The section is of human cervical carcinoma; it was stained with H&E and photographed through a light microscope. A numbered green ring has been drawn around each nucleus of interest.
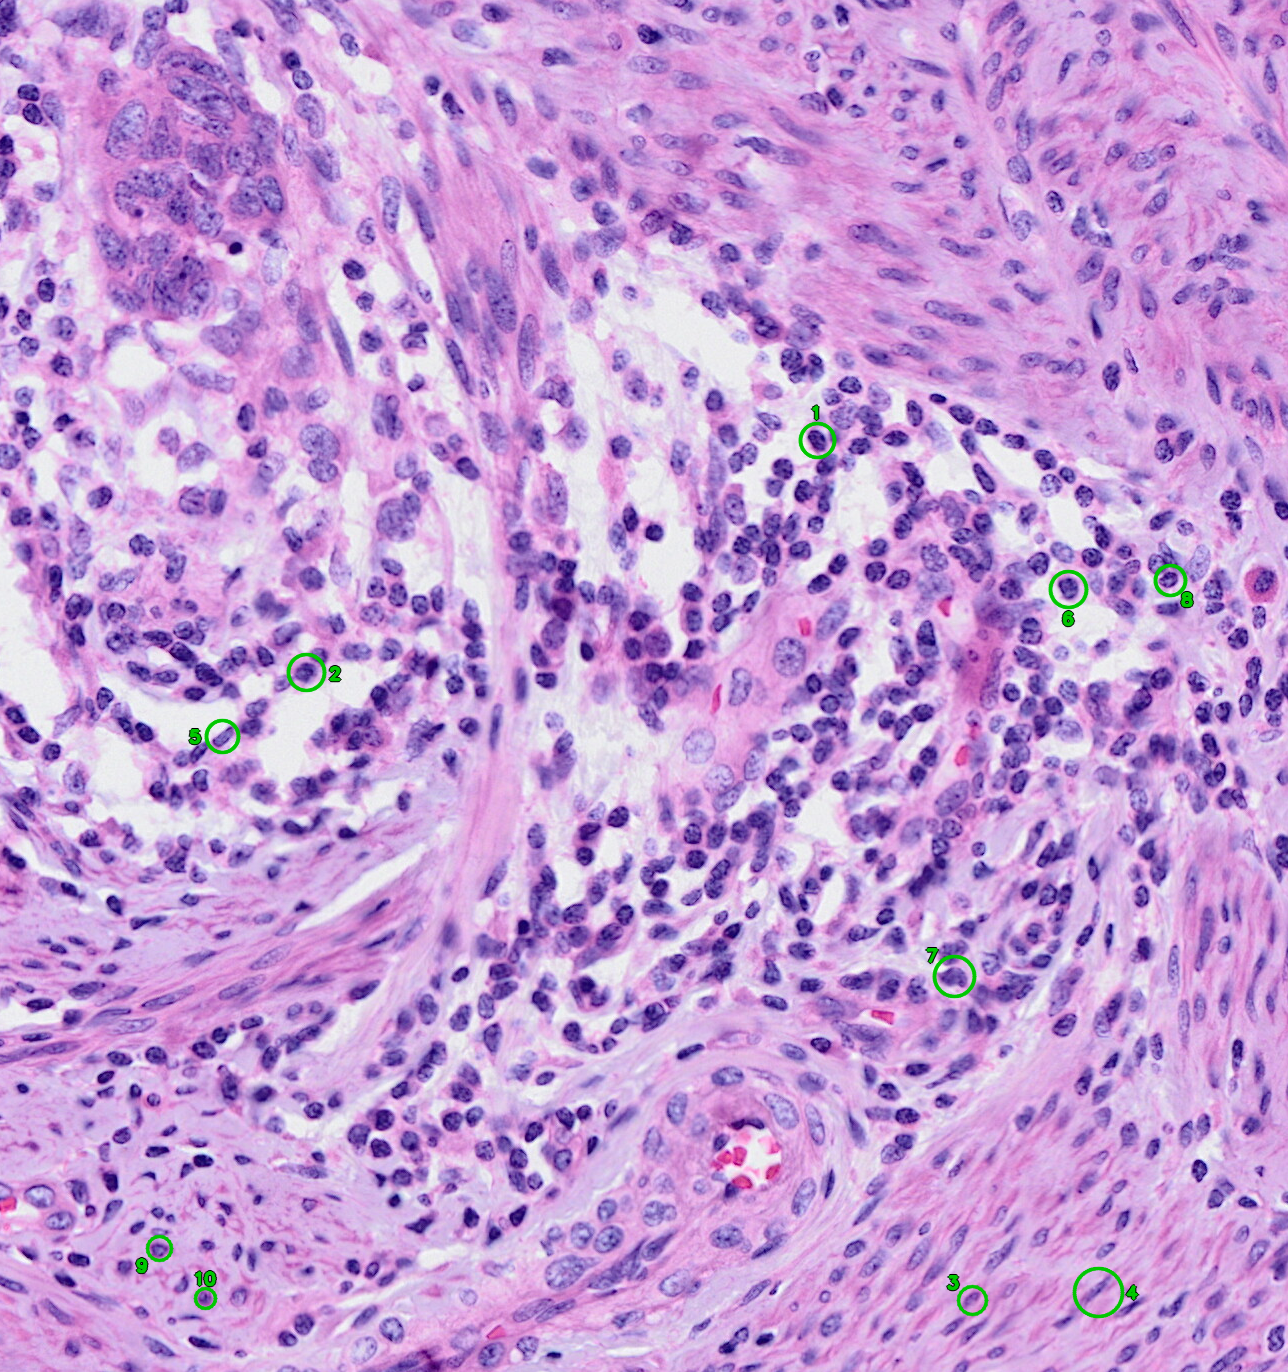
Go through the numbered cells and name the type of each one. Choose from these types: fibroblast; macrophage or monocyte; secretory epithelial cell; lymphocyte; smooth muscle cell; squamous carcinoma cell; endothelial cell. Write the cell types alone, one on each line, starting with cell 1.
lymphocyte
lymphocyte
smooth muscle cell
smooth muscle cell
lymphocyte
lymphocyte
lymphocyte
lymphocyte
smooth muscle cell
smooth muscle cell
